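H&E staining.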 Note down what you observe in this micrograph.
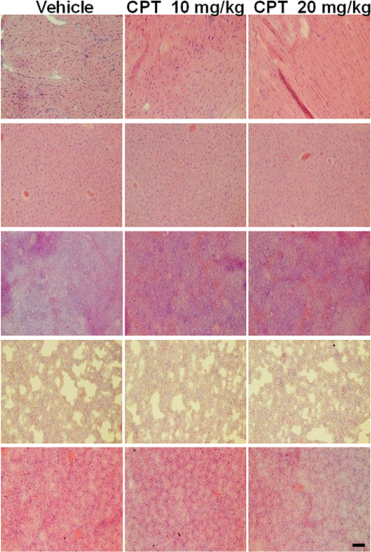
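The grid shows low-power sections of five organs, one per row, each stained pink and purple. In the heart row, pink bundles of muscle fibres run in parallel, with small, elongated dark nuclei scattered along them. The liver row shows sheets of pink tissue with evenly scattered small nuclei and a few small round vessels. The spleen row is a denser, more purple tissue with paler and darker zones.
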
